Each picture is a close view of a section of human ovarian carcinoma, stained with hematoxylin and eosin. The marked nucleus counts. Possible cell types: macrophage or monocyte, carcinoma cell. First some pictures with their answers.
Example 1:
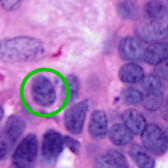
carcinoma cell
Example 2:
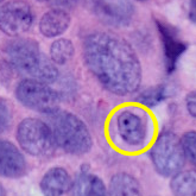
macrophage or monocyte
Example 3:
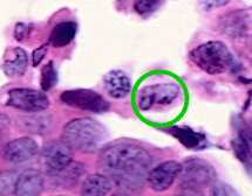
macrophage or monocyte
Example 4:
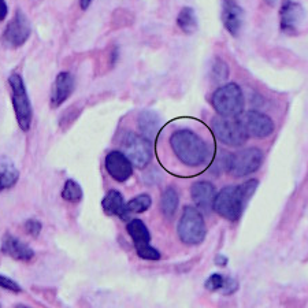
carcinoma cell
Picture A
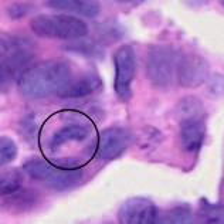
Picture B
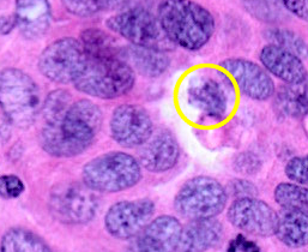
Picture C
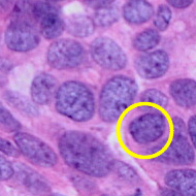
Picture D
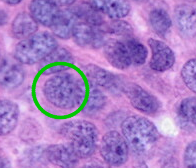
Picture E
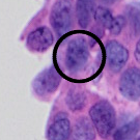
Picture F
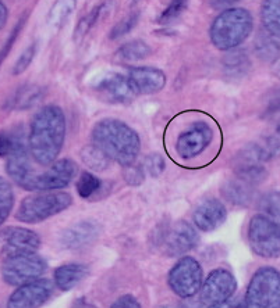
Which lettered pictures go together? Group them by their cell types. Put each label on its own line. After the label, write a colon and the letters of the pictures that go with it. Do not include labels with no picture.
macrophage or monocyte: B, F
carcinoma cell: A, C, D, E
